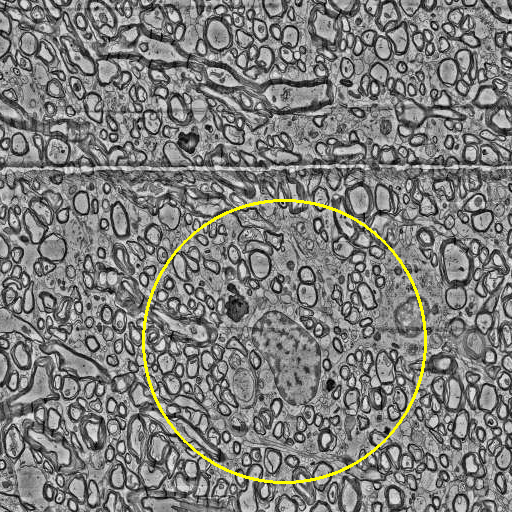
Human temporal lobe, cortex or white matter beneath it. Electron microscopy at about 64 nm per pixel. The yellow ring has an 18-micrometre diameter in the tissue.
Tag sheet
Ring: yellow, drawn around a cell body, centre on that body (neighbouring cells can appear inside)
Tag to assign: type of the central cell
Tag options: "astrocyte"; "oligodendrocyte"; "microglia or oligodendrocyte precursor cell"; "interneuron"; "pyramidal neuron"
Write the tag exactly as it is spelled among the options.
microglia or oligodendrocyte precursor cell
